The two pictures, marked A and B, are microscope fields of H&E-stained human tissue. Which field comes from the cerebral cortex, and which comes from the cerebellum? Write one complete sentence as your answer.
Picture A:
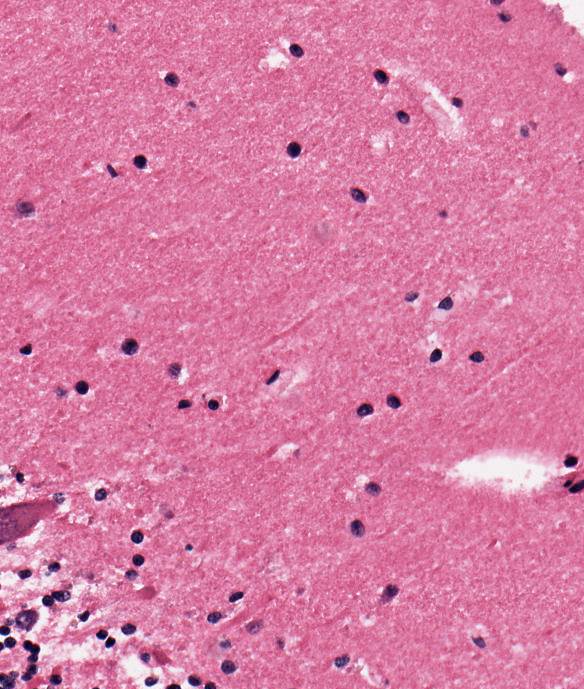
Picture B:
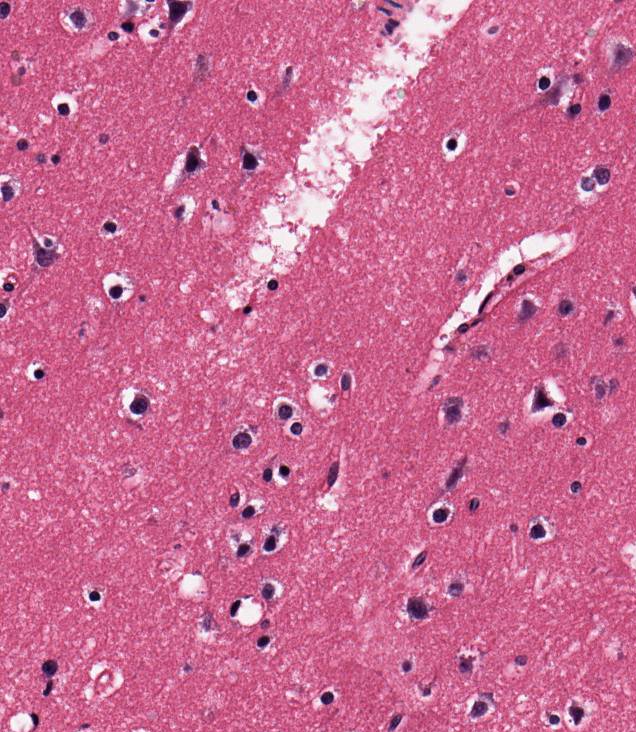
Picture B comes from the cerebral cortex, while picture A comes from the cerebellum.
